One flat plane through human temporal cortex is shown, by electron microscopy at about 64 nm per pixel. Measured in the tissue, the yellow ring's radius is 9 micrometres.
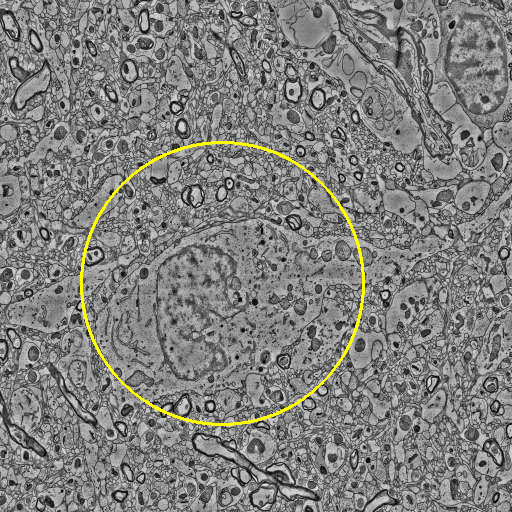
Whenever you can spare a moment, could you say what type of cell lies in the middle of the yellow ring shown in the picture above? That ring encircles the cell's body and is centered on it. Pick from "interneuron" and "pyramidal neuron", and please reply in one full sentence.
The cell whose body sits at the middle of the yellow ring is an interneuron.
